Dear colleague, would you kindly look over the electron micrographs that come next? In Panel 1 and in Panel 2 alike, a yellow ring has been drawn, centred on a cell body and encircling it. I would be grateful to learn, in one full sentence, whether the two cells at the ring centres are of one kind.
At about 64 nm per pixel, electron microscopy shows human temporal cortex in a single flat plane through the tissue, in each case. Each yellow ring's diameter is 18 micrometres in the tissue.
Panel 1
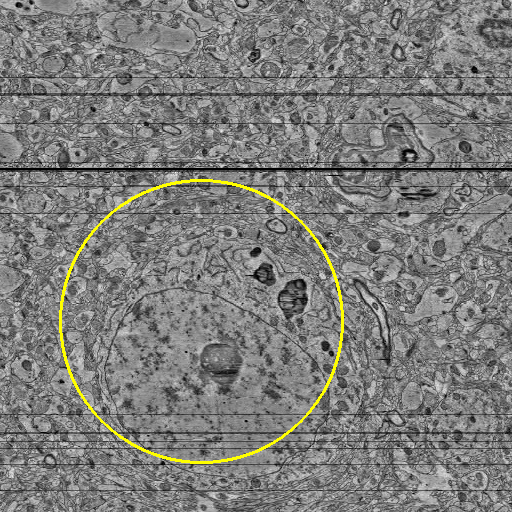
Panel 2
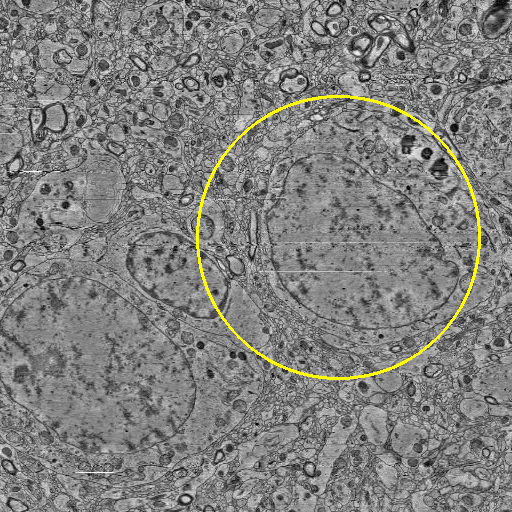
Yes, the cells in the middle of the rings in the two panels are of one kind.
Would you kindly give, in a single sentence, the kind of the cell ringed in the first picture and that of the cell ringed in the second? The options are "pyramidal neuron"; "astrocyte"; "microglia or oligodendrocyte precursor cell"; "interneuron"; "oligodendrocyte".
Each of the two rings surrounds a pyramidal neuron.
